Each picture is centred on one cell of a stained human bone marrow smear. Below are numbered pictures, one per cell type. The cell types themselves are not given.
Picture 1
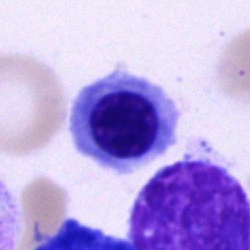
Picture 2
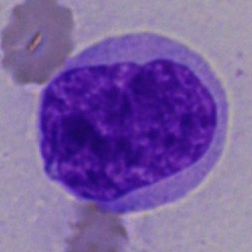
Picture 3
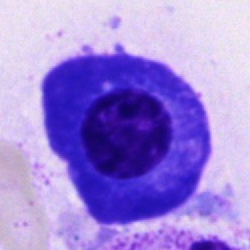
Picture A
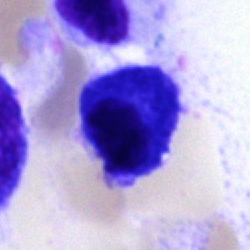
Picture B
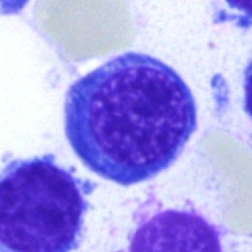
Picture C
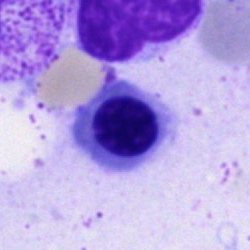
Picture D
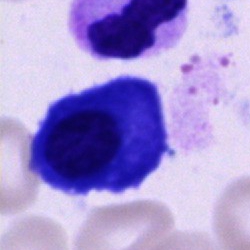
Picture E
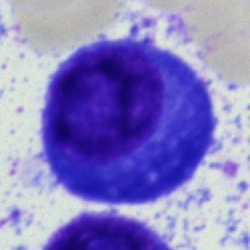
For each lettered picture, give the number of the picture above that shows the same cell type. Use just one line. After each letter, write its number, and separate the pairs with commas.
A 3, B 1, C 1, D 3, E 3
